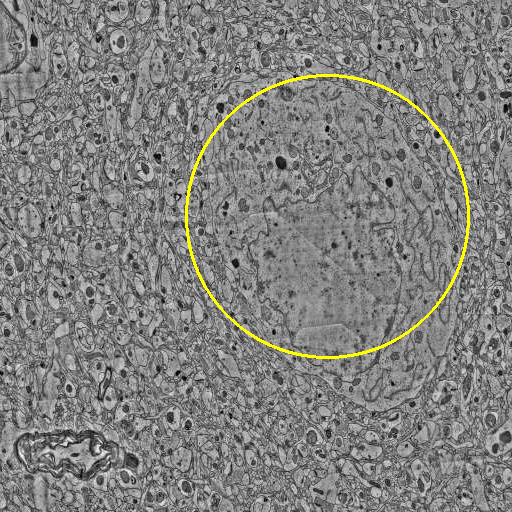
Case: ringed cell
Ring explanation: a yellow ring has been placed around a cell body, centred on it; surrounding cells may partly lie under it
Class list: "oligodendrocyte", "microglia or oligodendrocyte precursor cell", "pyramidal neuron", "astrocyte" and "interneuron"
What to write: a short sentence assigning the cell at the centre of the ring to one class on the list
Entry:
The cell at the ring's centre is an interneuron.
